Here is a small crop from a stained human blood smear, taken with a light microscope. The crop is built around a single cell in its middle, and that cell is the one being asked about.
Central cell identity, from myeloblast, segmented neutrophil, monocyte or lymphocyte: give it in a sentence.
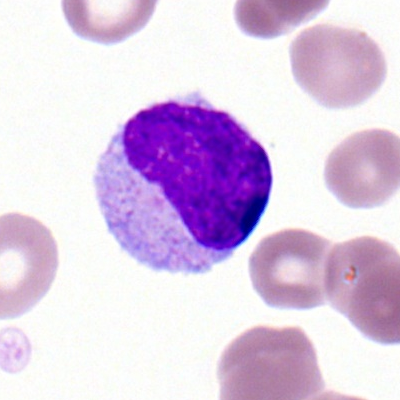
The middle of this crop holds a lymphocyte.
